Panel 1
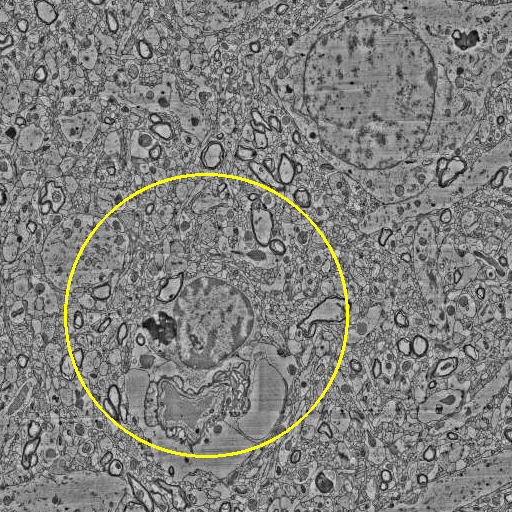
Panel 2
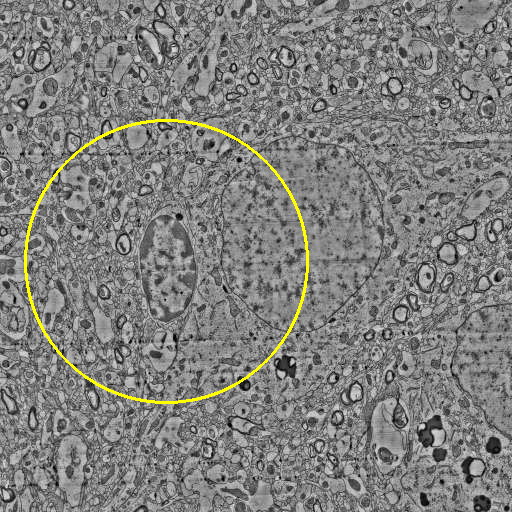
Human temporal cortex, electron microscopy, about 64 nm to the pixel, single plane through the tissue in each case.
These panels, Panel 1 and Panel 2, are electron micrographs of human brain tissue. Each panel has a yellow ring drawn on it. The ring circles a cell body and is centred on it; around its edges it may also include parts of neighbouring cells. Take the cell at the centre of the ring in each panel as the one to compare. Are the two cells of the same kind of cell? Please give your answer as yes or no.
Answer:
no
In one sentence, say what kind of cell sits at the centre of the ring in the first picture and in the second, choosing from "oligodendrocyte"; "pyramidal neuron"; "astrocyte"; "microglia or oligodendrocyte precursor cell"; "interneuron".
The first picture's ringed cell is an oligodendrocyte, while the second picture's is a microglial cell or oligodendrocyte precursor cell.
